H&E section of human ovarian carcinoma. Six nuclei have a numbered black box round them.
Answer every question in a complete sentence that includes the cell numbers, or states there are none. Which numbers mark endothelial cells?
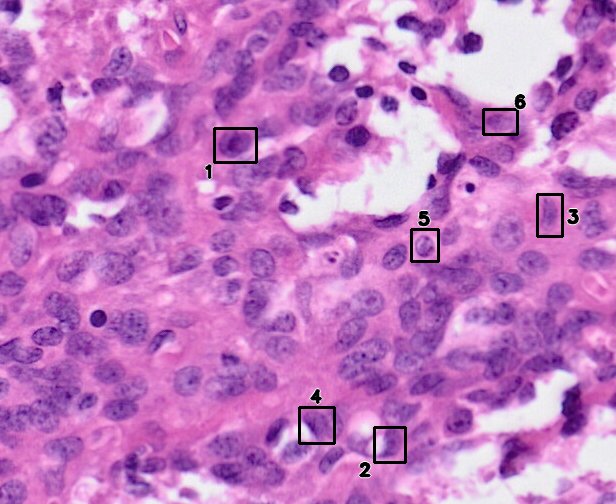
Only number 3 is an endothelial cell; none of the others are.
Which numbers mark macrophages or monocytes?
Just the cell marked 5 is a macrophage or monocyte; none of the other marked cells is.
